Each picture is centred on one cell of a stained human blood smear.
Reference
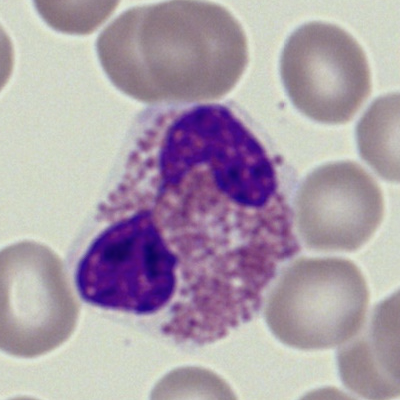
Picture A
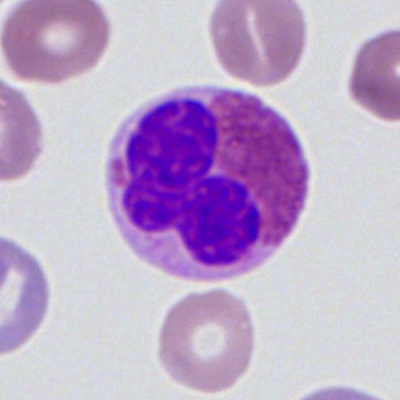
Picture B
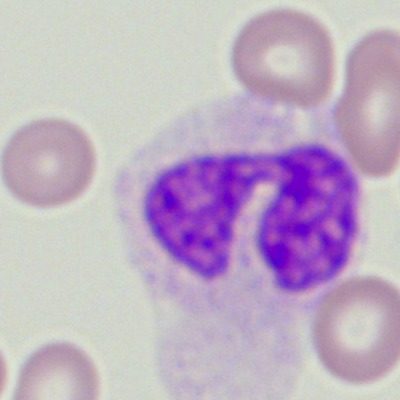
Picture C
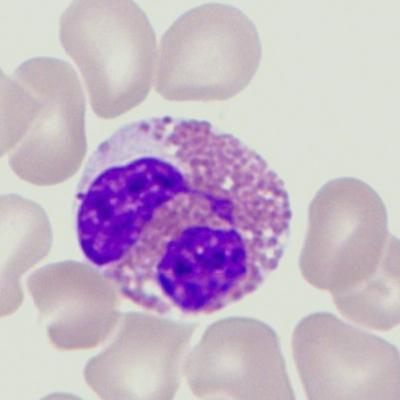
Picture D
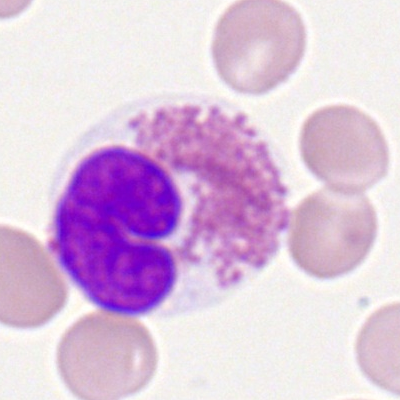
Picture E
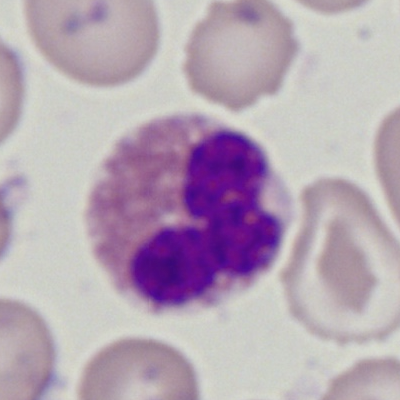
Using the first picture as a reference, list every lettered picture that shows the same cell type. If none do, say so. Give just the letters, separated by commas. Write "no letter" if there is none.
A, C, D, E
